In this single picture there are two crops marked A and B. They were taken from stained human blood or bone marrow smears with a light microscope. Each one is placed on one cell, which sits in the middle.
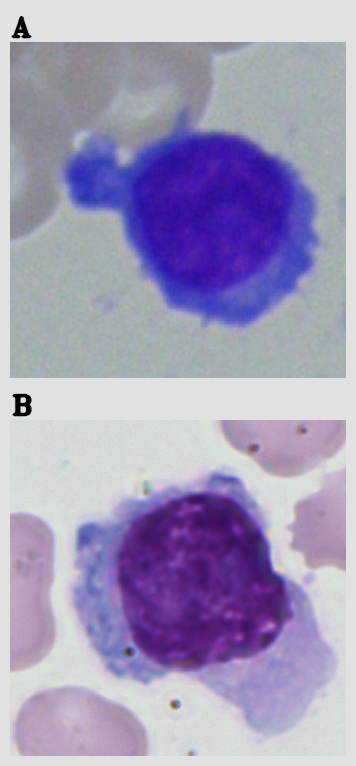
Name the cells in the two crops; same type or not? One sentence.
Yes, the cells at the middle of both crops are plasma cells.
